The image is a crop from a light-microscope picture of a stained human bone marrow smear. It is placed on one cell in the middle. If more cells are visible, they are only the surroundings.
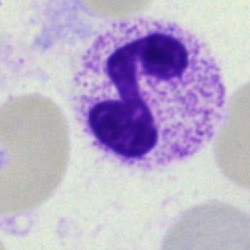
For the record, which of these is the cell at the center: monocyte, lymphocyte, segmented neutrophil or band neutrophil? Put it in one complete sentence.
Here the cell in the middle is a segmented neutrophil.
